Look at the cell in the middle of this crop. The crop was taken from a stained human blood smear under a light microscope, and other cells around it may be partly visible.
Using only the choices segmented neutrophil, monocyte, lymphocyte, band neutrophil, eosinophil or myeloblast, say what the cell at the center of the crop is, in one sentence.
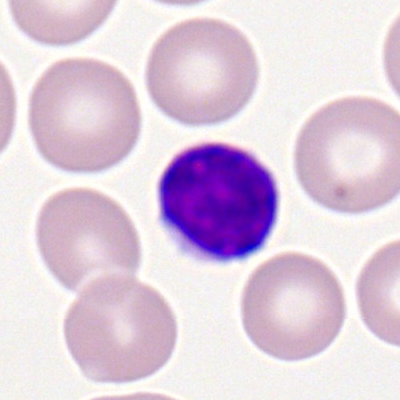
In the centre of this crop there is a lymphocyte.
